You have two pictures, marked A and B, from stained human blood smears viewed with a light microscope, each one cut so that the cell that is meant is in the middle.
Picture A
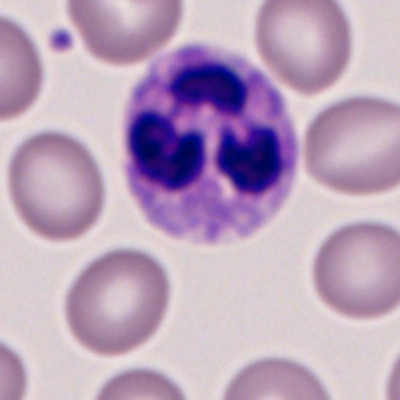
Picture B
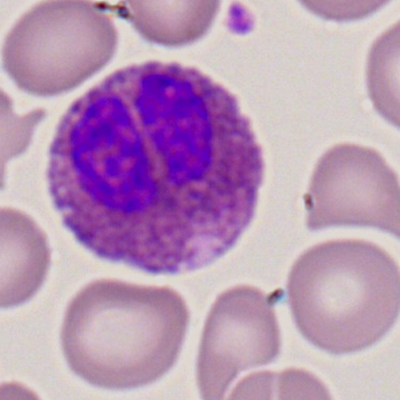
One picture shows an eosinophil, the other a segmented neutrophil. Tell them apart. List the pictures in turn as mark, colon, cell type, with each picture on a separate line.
A: segmented neutrophil
B: eosinophil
